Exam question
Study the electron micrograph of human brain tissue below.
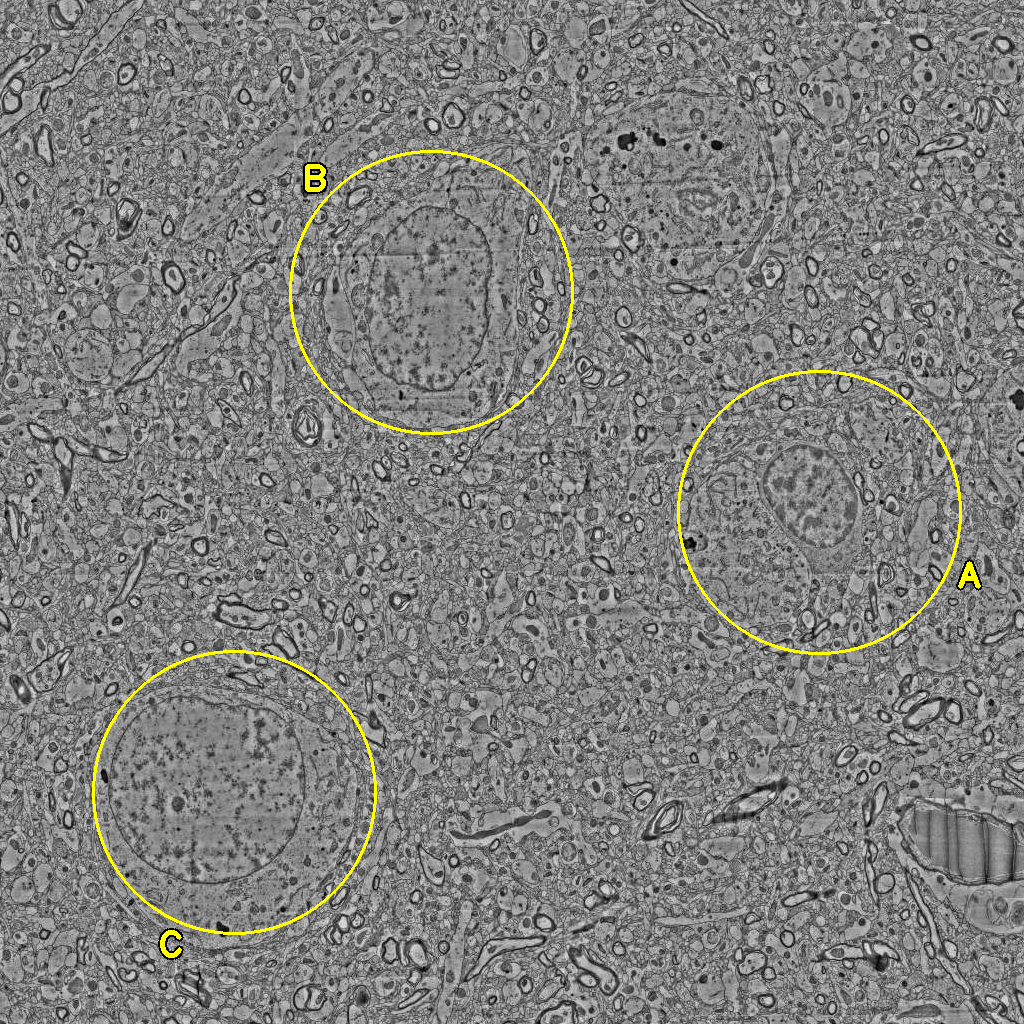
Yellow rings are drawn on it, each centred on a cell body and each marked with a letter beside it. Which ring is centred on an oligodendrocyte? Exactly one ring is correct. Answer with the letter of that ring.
A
